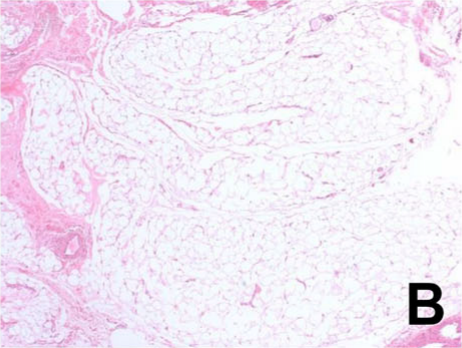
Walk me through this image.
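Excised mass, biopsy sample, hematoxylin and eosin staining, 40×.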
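Fatty tissue at low power, arranged in lobules of many small clear, round to polygonal adipocytes. The lobules are divided by thin pink fibrous septa, and a denser band of pink connective tissue runs along the left edge. Nuclei are sparse, and the lobules look uniform throughout.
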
